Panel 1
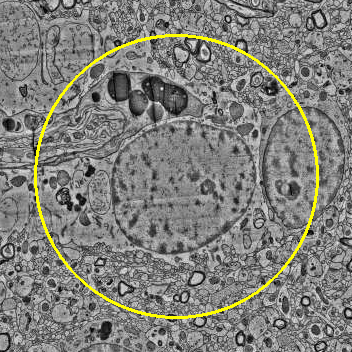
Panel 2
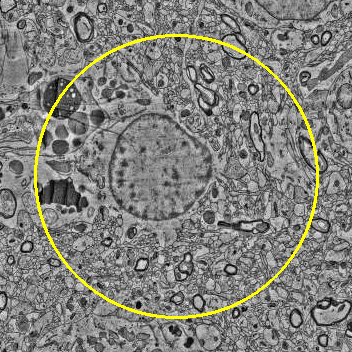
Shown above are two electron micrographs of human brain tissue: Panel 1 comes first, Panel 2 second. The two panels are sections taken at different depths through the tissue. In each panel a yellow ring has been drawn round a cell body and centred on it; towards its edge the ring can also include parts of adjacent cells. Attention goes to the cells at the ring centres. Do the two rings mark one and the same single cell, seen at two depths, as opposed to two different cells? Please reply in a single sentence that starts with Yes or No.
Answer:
Yes, the cell inside the first ring is the cell inside the second.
